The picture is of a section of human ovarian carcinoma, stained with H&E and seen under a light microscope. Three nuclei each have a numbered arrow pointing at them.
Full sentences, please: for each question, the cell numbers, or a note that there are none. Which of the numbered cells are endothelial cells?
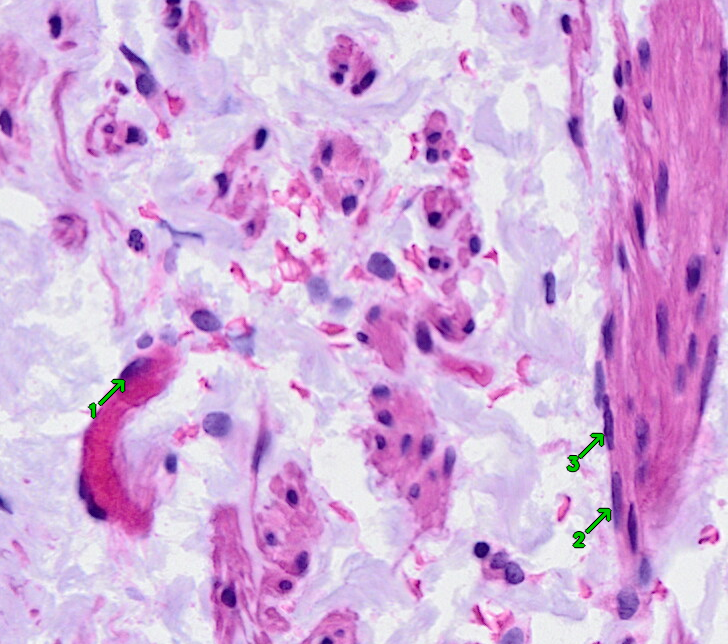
The cell marked by number 1 is an endothelial cell; the other marked cells are not.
